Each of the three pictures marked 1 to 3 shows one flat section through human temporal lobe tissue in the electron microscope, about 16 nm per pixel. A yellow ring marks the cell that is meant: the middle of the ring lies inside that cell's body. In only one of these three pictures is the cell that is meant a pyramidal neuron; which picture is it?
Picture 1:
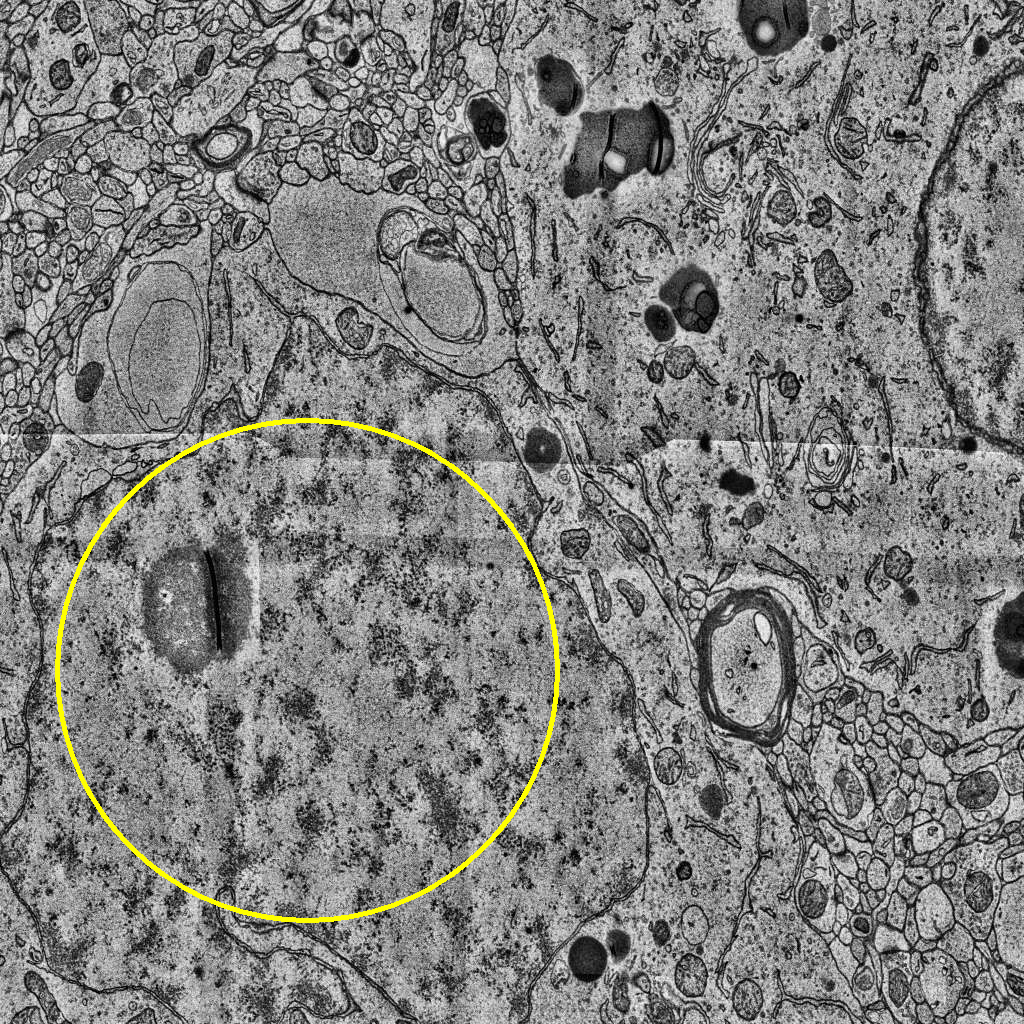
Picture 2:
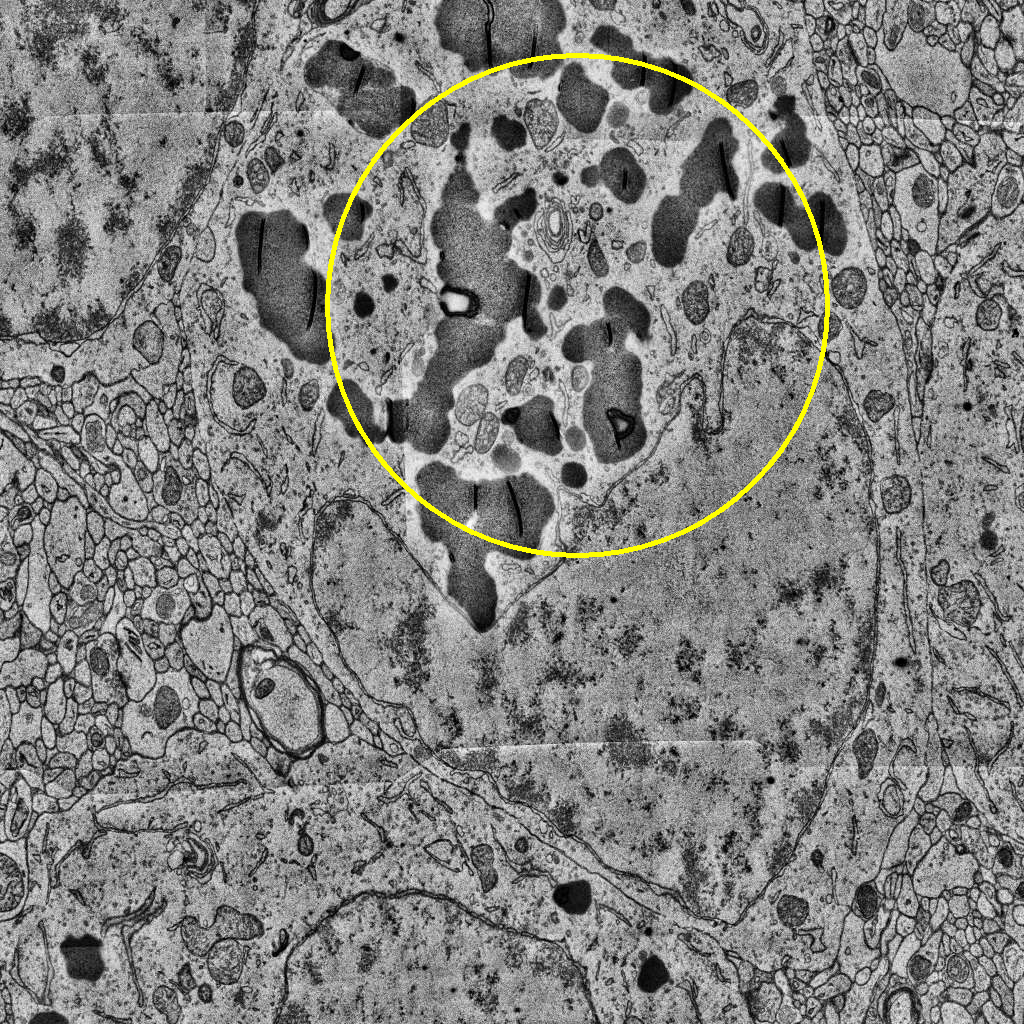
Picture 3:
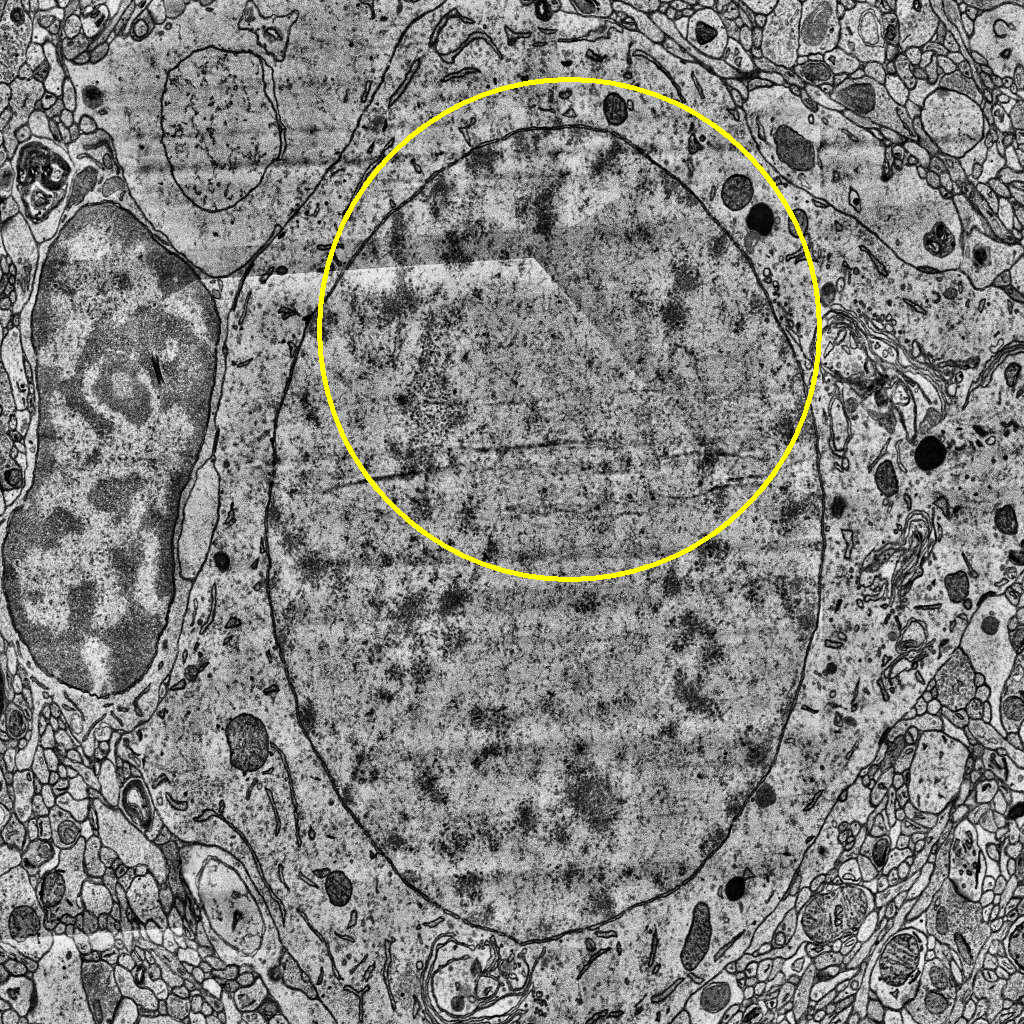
The pyramidal neuron is the one in picture 3.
